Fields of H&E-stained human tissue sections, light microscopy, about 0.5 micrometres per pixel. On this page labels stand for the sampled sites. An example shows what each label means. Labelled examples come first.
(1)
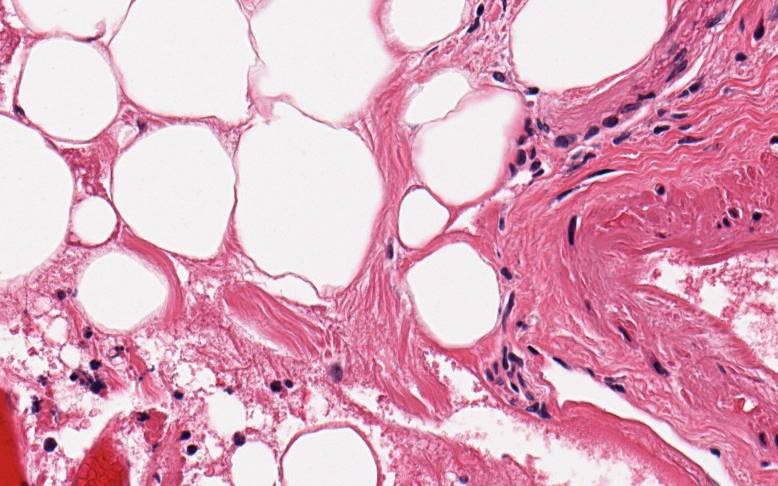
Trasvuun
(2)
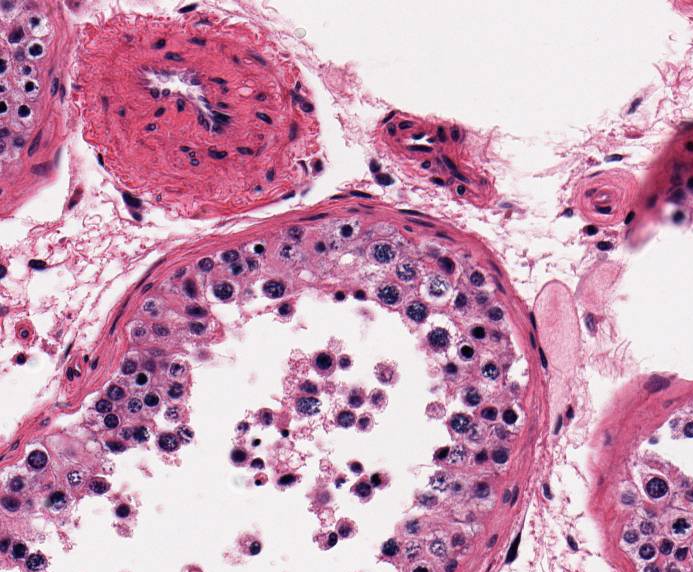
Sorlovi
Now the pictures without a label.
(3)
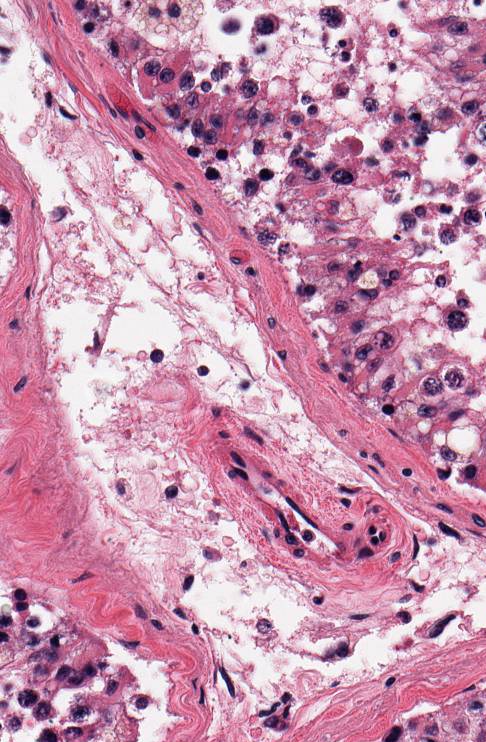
Sorlovi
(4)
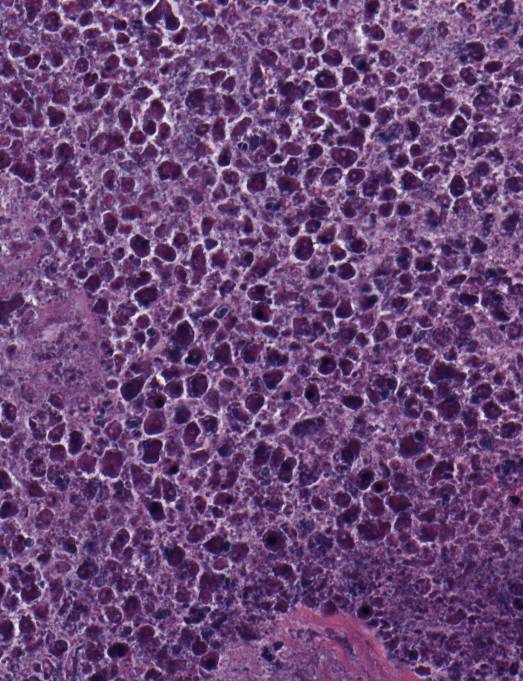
Trasvuun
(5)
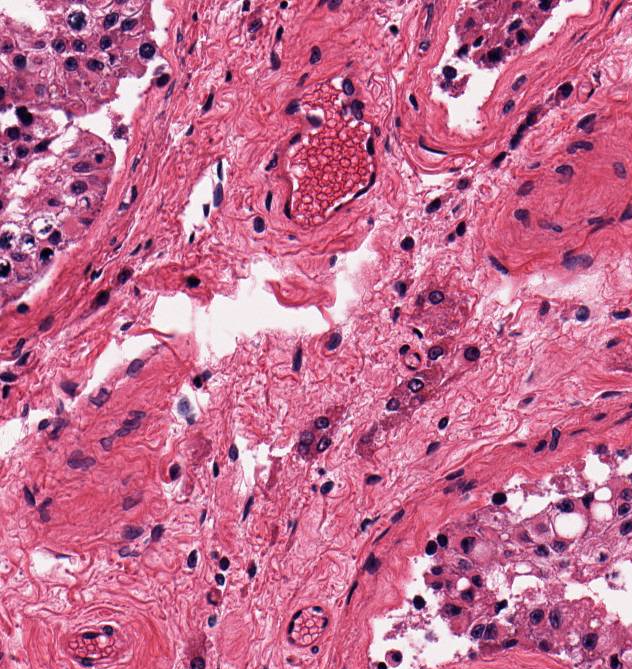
Sorlovi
